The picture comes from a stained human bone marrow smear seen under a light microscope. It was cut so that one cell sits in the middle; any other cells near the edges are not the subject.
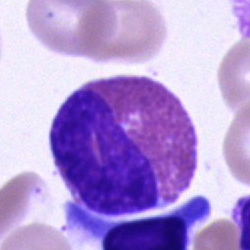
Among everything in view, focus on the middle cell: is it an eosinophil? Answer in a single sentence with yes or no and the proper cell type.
Yes, the cell of interest in the centre is an eosinophil.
